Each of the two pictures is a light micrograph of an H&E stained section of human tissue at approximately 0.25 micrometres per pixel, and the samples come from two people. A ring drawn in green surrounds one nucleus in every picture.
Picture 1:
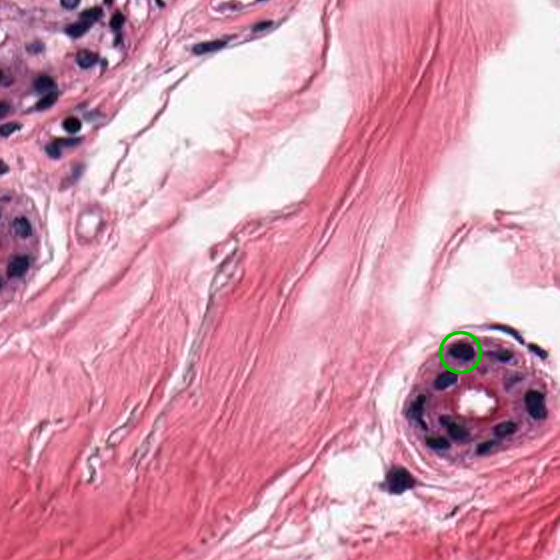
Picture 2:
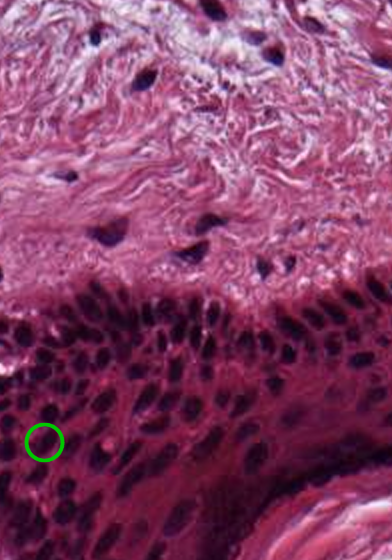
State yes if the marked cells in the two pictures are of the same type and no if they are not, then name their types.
No, the first is a sweat gland cell and the second a keratinocyte.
